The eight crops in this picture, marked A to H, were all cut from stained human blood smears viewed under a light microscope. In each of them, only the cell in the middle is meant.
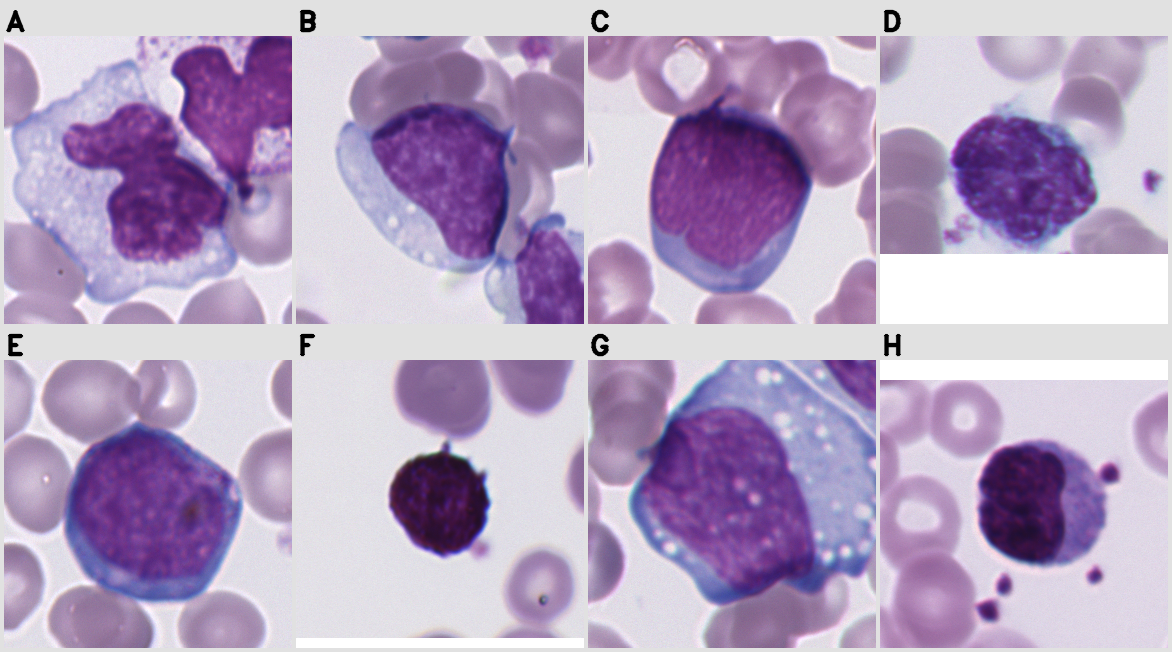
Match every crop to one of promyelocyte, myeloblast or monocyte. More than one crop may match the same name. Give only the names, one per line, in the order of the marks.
monocyte
myeloblast
myeloblast
monocyte
myeloblast
myeloblast
myeloblast
monocyte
